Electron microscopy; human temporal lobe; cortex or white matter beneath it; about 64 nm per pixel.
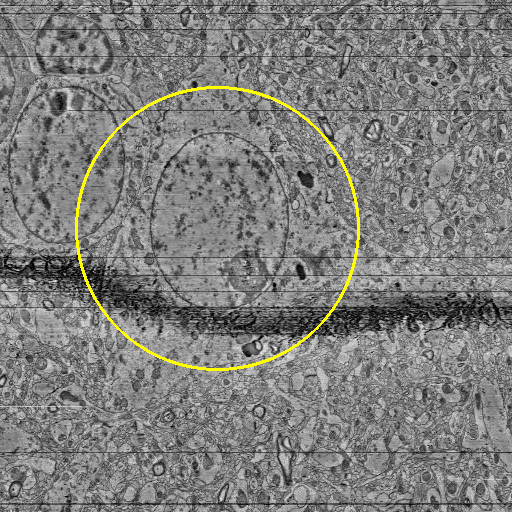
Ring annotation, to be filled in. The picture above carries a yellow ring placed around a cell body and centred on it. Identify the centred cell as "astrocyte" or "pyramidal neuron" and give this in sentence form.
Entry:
The cell in the middle of the ring is a pyramidal neuron.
